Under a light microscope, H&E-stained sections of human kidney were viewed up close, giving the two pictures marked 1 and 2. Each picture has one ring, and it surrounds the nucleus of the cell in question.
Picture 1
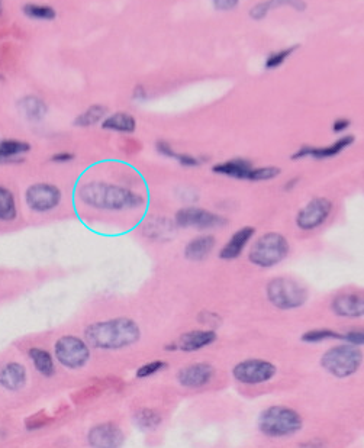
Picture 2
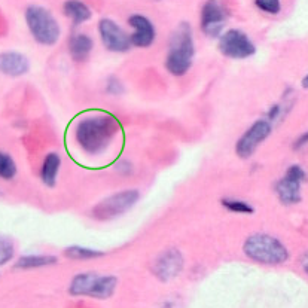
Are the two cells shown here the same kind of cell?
no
